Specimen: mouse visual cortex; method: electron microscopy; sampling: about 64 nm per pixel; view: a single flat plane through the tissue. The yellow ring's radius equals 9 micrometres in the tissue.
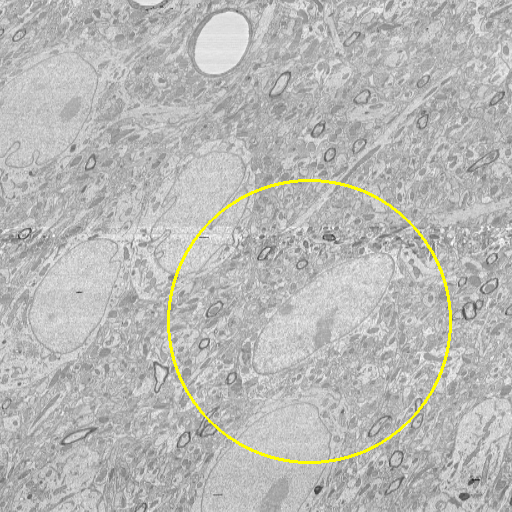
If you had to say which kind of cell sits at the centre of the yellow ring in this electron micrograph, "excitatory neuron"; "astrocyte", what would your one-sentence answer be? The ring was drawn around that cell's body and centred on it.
The cell sitting at the centre of the ring is an astrocyte.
